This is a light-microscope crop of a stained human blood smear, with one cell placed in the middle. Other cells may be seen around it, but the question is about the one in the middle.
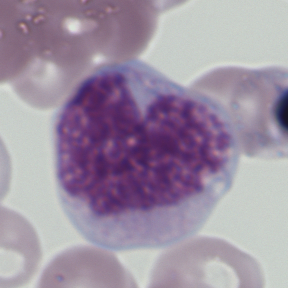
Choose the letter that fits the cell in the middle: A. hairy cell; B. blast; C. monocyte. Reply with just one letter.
C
